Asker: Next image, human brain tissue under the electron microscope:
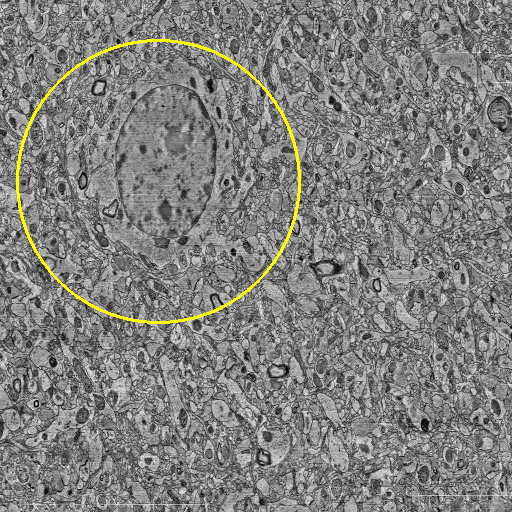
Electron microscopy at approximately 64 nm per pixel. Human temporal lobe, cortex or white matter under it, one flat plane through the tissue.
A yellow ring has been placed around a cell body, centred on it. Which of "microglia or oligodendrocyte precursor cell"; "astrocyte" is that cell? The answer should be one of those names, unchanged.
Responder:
astrocyte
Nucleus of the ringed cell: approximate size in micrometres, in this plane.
Approximately 11 micrometres long and 7 micrometres wide, so clearly longer than it is wide in this plane.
